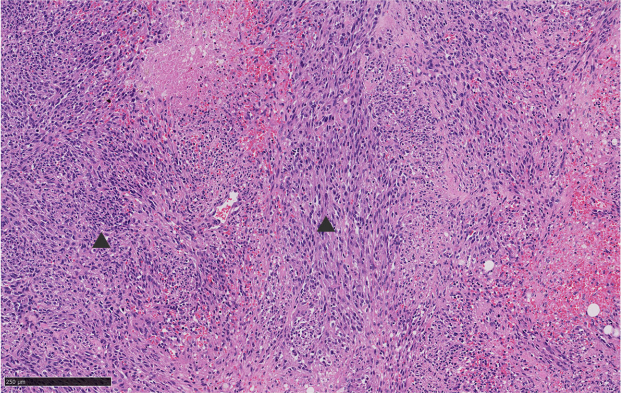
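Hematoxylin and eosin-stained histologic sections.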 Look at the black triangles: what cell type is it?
fusiform tumor cells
